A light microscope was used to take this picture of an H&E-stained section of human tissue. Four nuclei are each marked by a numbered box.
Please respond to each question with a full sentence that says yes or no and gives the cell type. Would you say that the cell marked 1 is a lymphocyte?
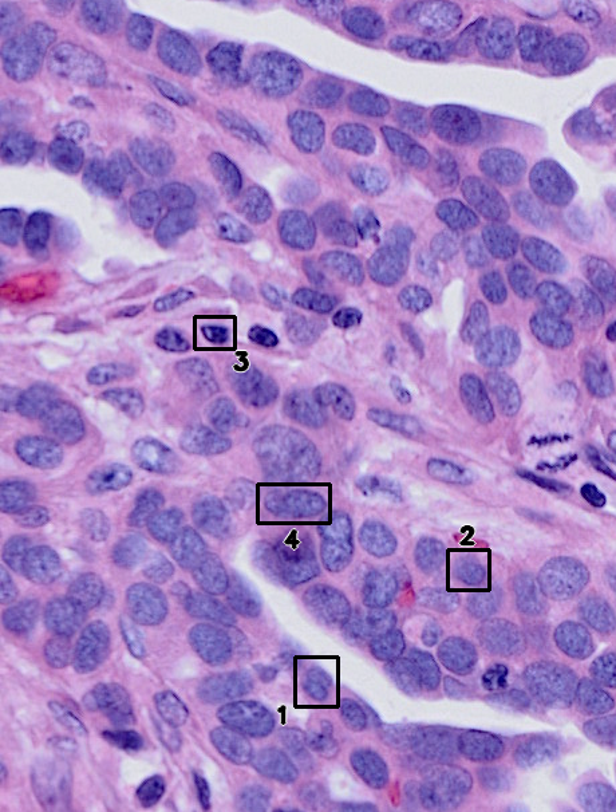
No, cell 1 is to be classed as a carcinoma cell, not a lymphocyte.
